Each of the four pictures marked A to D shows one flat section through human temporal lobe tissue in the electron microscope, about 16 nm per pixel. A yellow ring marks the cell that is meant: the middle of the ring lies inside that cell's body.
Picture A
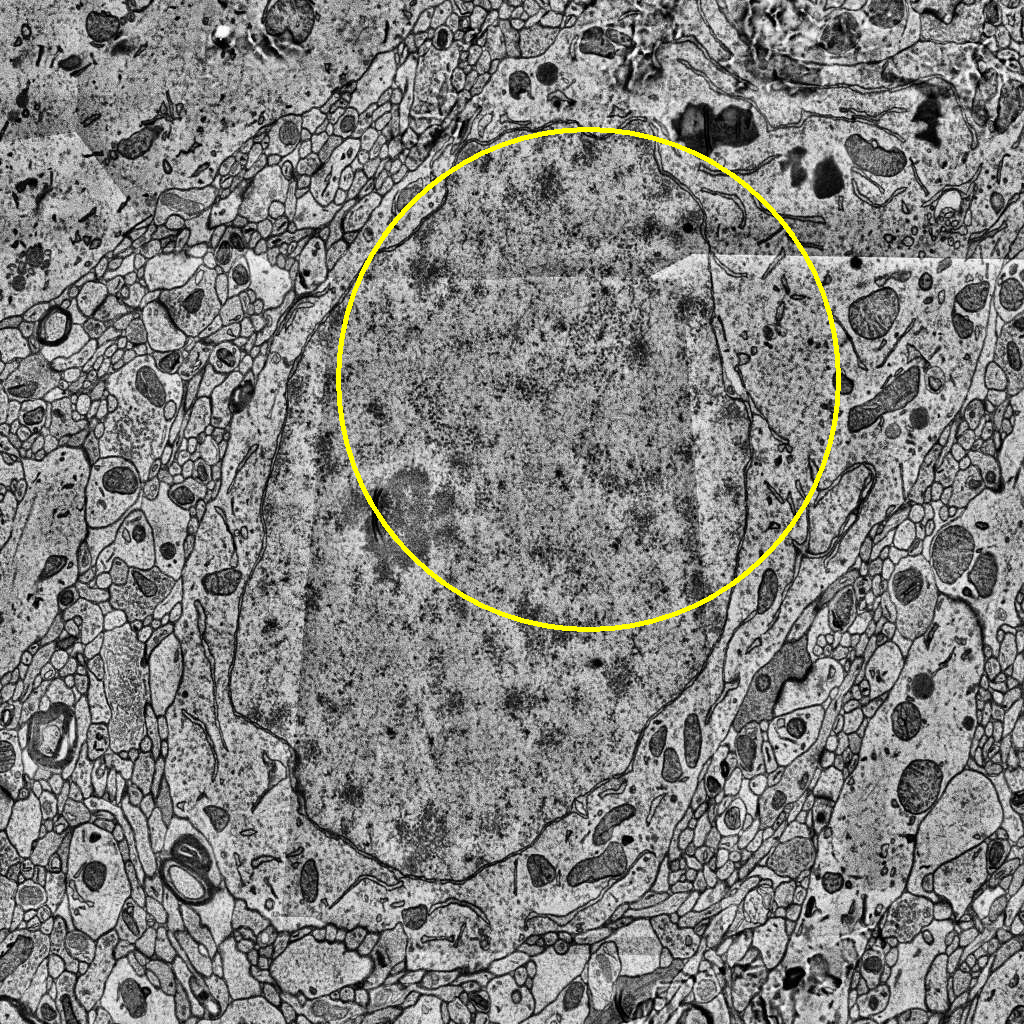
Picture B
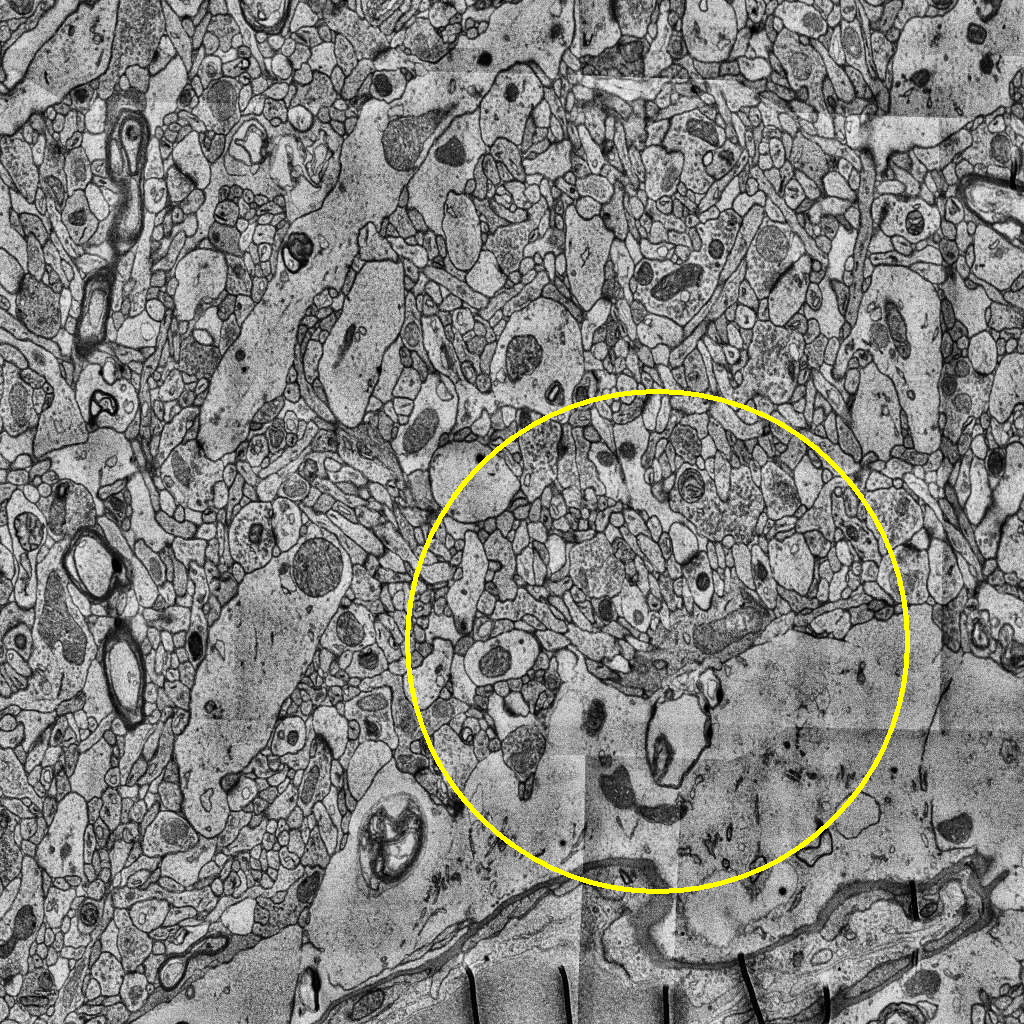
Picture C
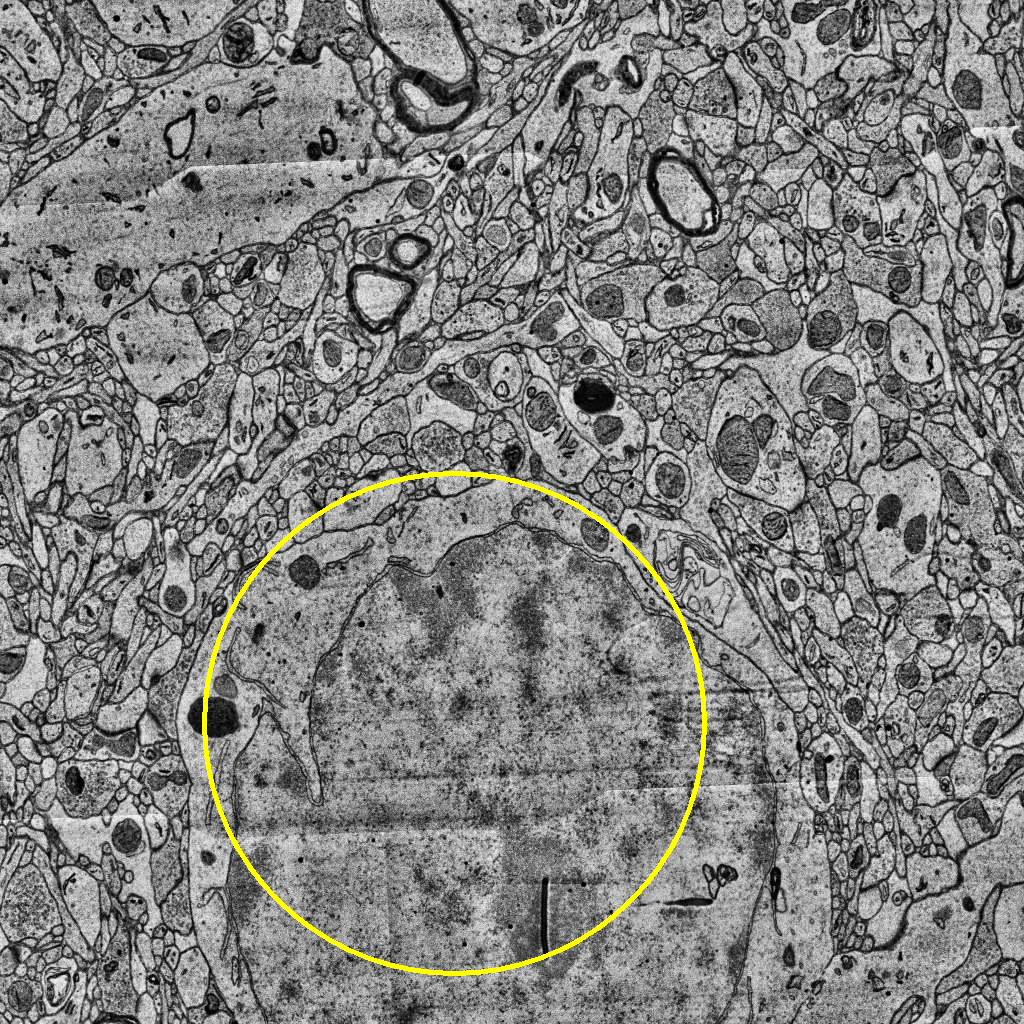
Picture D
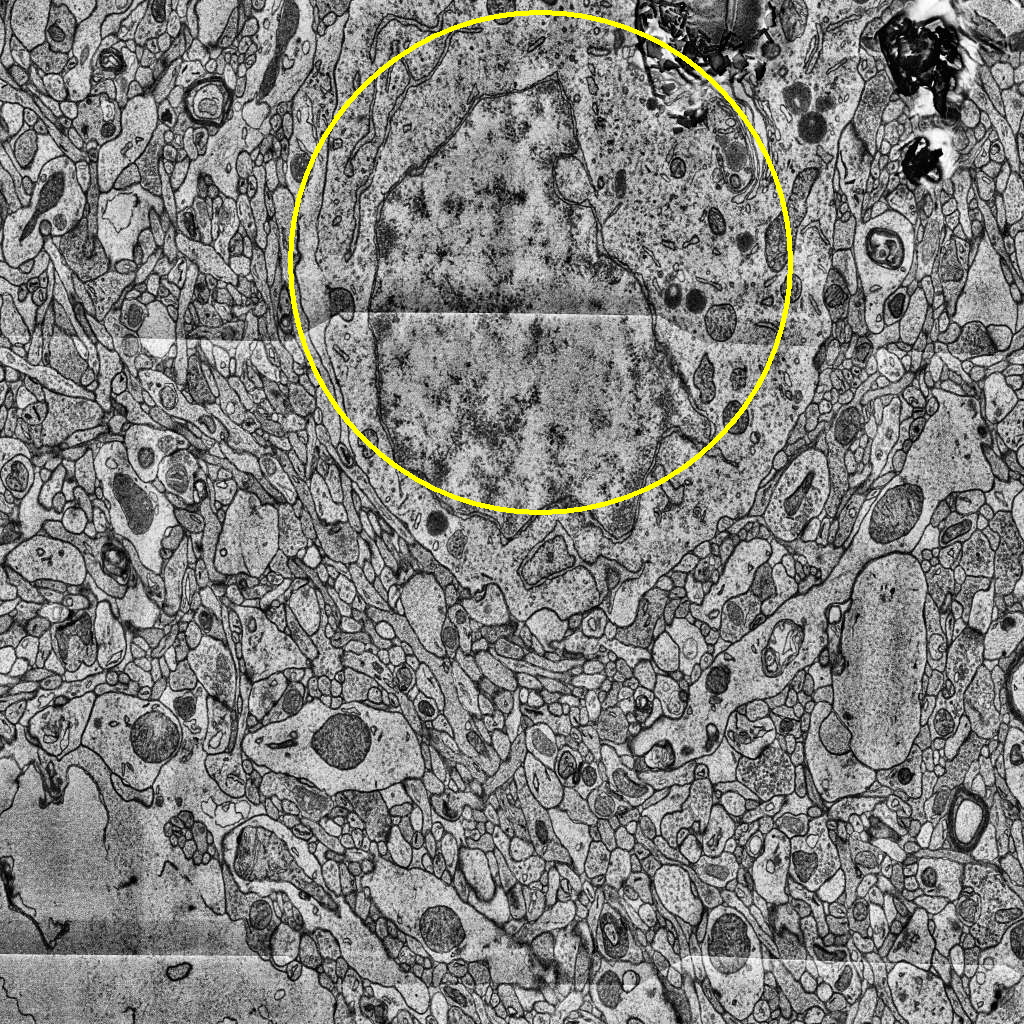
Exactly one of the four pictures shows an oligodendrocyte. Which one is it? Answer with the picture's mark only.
B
